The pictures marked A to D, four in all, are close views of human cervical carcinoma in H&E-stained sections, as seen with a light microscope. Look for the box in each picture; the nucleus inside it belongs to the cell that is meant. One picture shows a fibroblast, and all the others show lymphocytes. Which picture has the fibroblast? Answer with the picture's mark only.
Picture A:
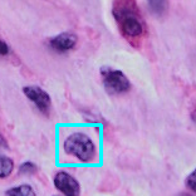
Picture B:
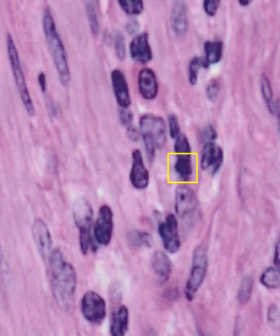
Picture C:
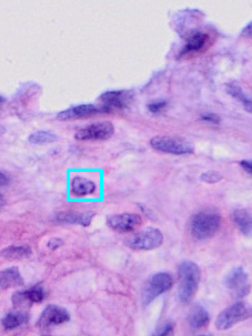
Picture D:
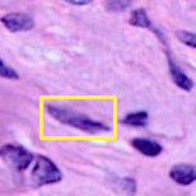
D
